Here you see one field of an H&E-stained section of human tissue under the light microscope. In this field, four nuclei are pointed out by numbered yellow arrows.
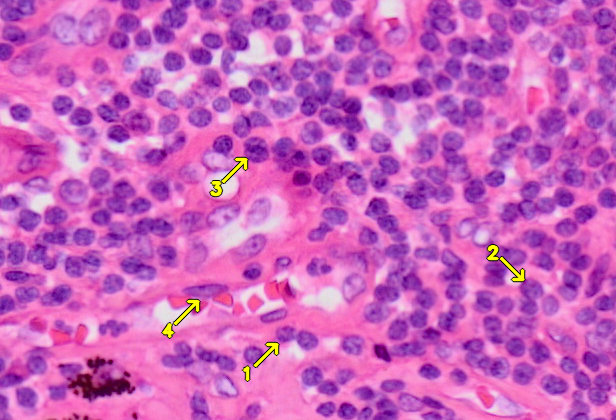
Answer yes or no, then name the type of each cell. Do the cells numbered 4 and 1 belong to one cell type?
No, in this section cell 4 is an endothelial cell and cell 1 is a lymphocyte.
